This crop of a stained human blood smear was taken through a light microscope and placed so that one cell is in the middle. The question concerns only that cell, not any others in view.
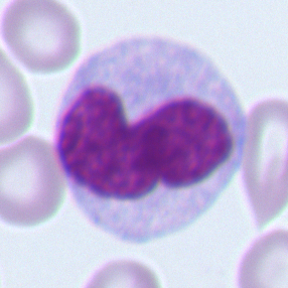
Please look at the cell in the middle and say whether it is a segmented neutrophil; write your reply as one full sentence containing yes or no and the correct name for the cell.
No, the cell at the center of this crop is a monocyte instead of a segmented neutrophil.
